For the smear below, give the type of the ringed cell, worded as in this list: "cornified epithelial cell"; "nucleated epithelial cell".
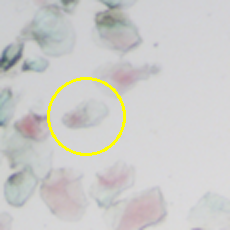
nucleated epithelial cell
